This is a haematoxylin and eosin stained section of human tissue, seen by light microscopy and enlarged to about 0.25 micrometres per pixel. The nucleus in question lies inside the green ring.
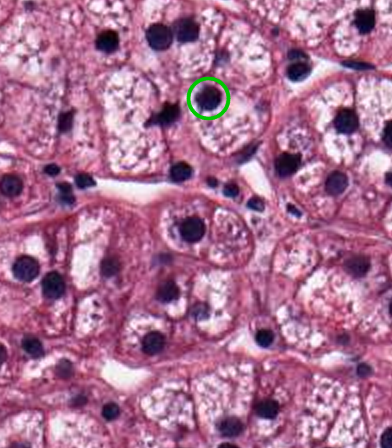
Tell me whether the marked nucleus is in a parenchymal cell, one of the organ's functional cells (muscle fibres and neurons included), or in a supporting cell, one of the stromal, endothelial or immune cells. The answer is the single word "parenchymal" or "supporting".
parenchymal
